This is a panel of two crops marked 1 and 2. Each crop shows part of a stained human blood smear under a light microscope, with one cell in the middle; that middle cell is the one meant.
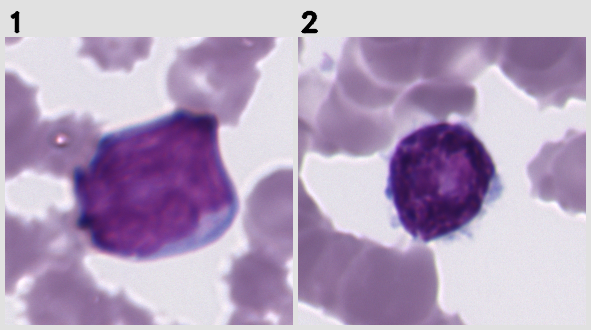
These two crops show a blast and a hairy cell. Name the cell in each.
1: blast
2: hairy cell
